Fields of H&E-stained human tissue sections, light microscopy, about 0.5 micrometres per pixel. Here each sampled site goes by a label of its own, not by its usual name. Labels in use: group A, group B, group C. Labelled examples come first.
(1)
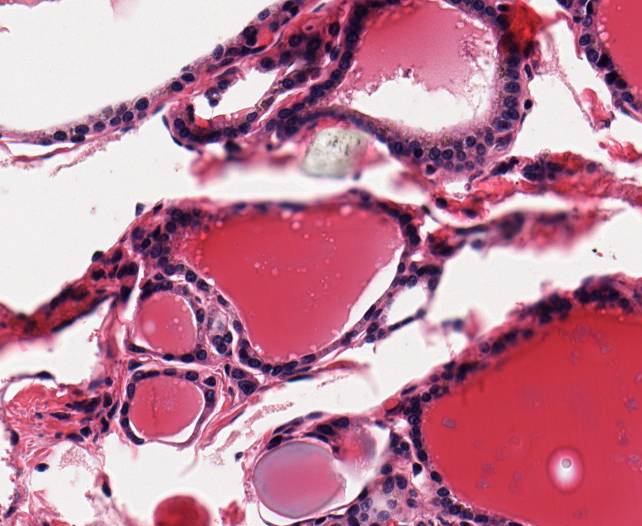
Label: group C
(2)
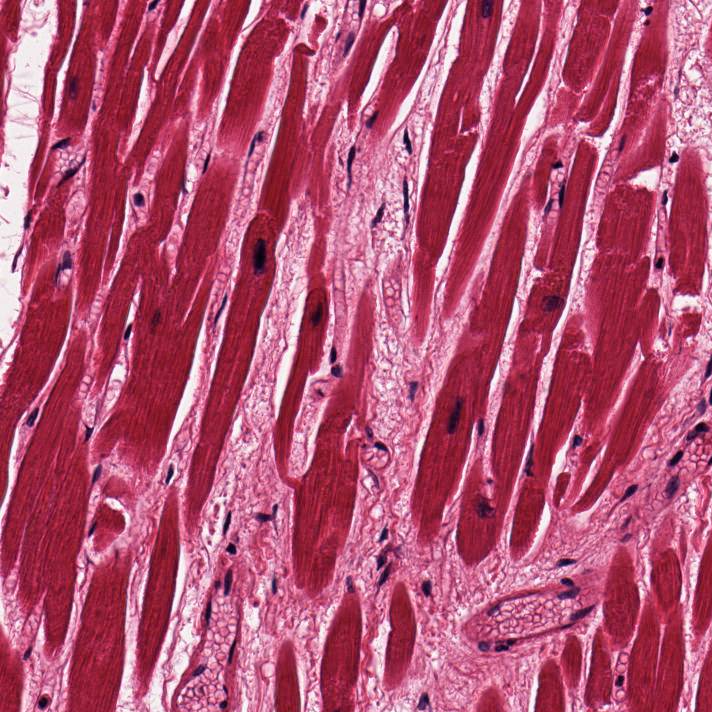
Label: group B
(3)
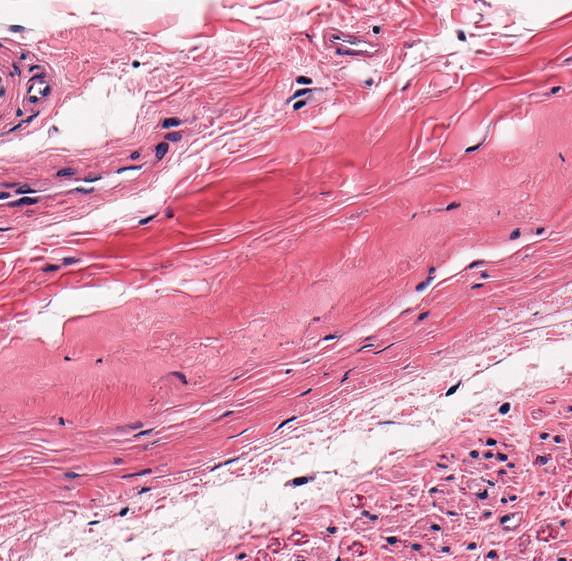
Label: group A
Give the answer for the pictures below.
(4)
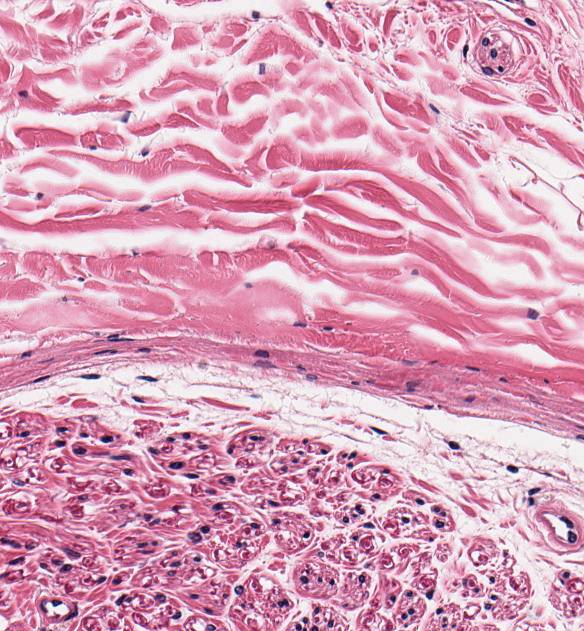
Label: group A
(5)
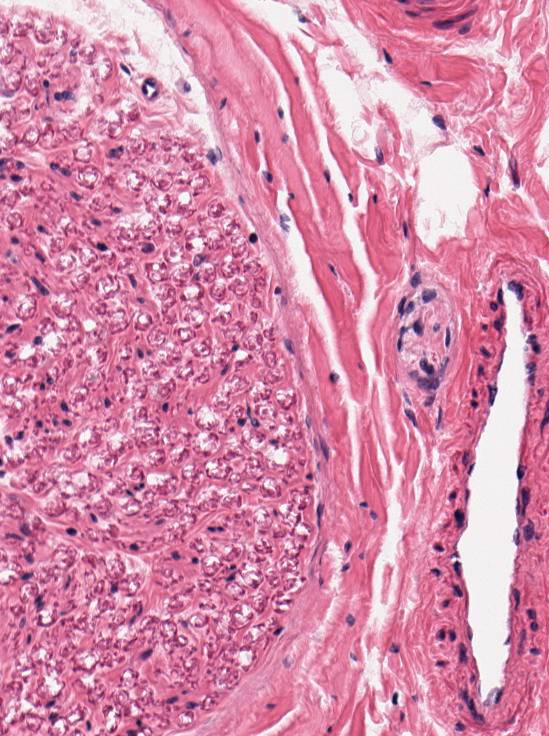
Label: group A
